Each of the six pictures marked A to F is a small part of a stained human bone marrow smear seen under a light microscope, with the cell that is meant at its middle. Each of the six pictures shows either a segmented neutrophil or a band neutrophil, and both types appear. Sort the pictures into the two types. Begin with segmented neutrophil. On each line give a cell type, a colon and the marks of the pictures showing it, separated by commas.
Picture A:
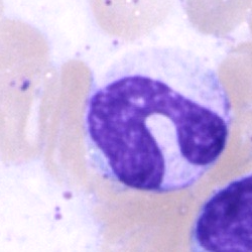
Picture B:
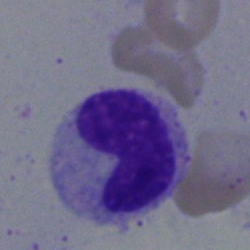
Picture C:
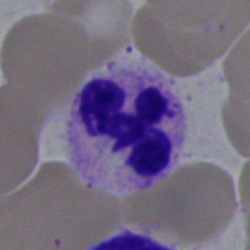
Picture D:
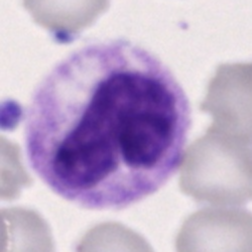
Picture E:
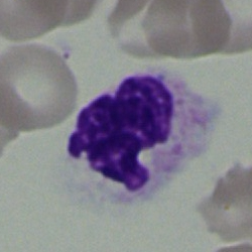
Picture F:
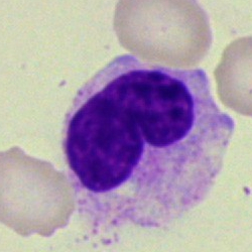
segmented neutrophil: C, E
band neutrophil: A, B, D, F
